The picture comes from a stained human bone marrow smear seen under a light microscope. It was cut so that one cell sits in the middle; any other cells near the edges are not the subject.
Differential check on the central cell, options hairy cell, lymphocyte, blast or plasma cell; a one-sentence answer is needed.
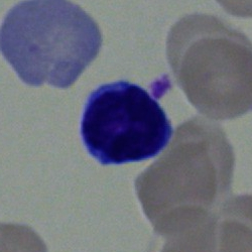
The single cell at the center of the crop is a lymphocyte.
